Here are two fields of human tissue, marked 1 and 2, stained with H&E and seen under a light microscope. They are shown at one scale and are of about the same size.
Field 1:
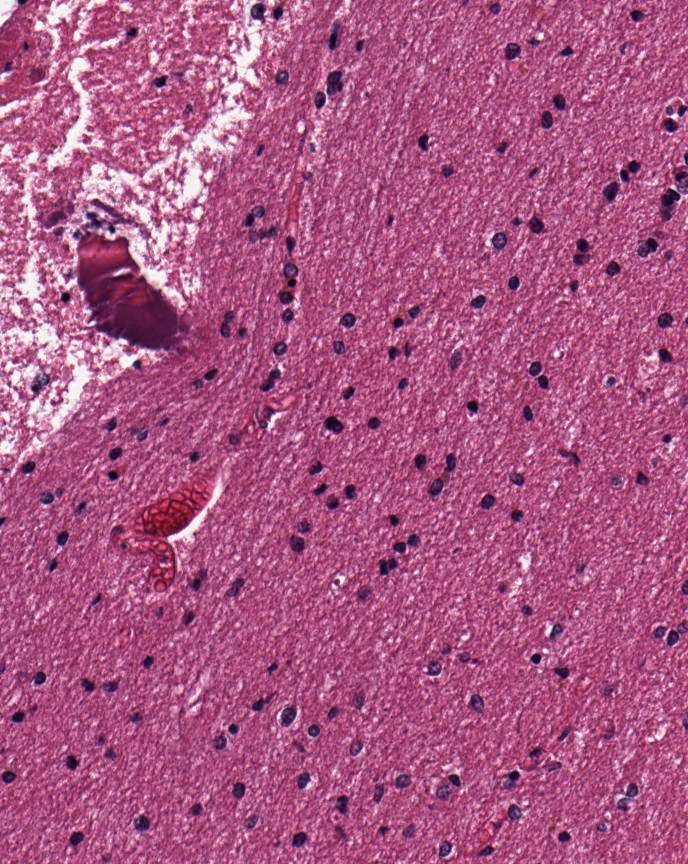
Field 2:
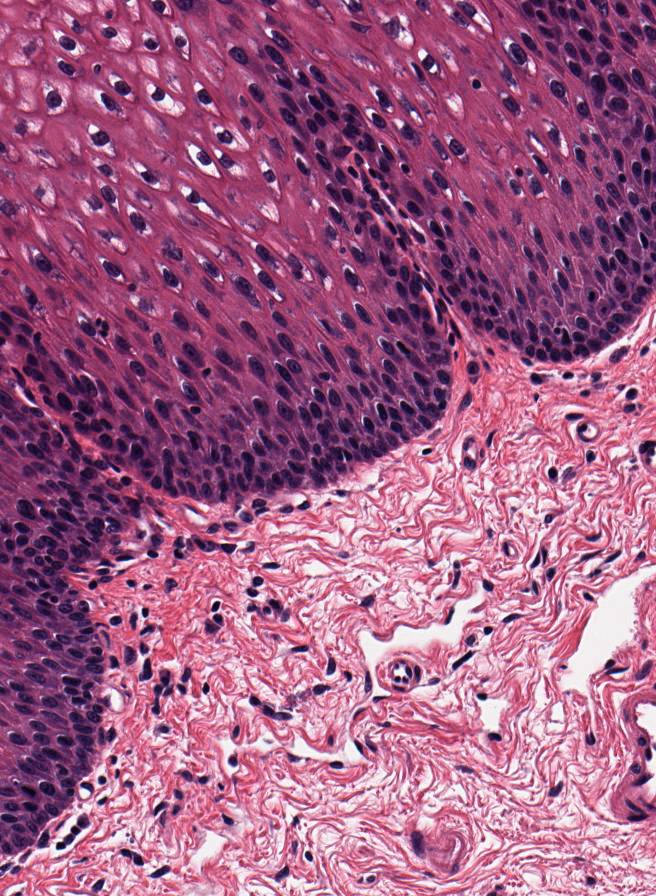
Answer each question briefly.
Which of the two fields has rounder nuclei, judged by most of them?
1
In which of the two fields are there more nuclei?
2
